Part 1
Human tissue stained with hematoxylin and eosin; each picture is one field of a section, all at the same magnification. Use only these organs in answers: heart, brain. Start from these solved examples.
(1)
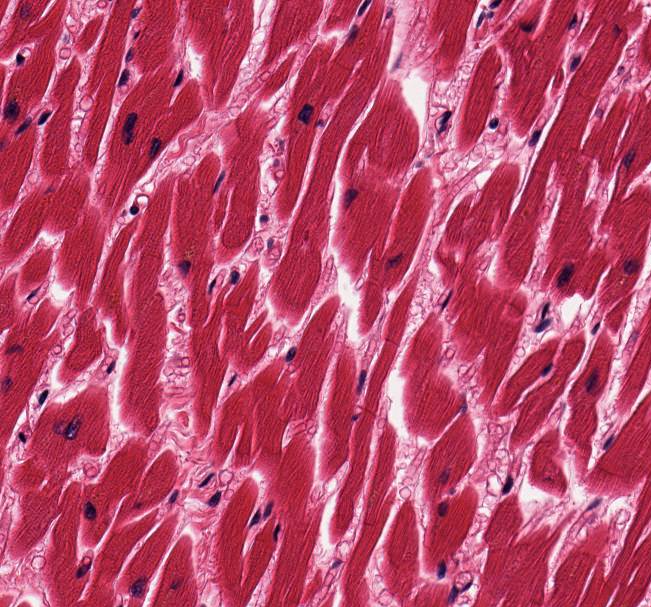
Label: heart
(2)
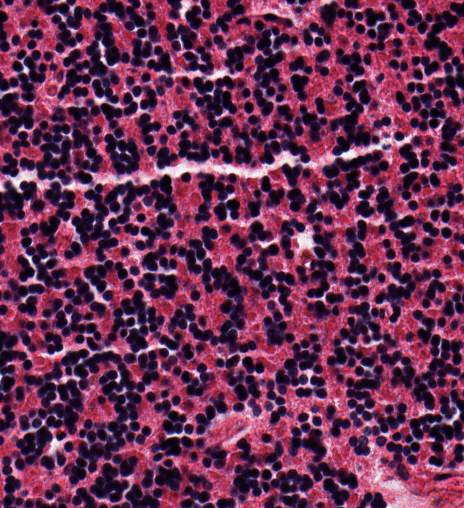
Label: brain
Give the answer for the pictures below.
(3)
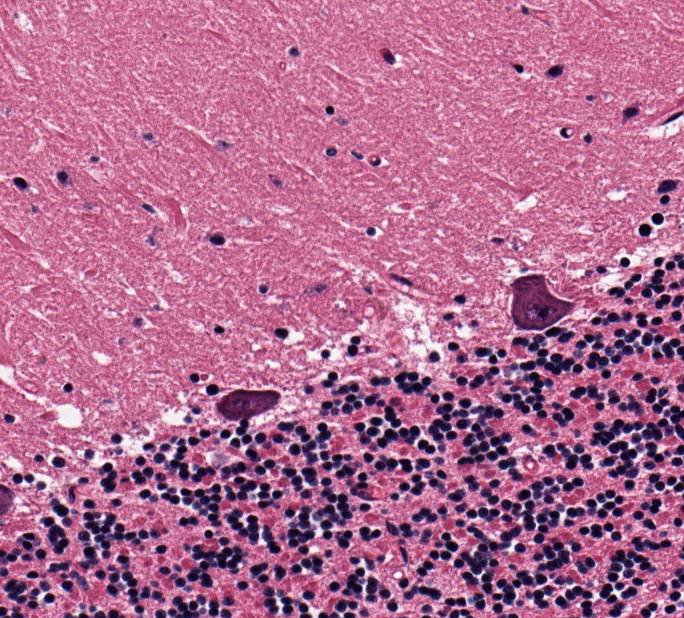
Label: brain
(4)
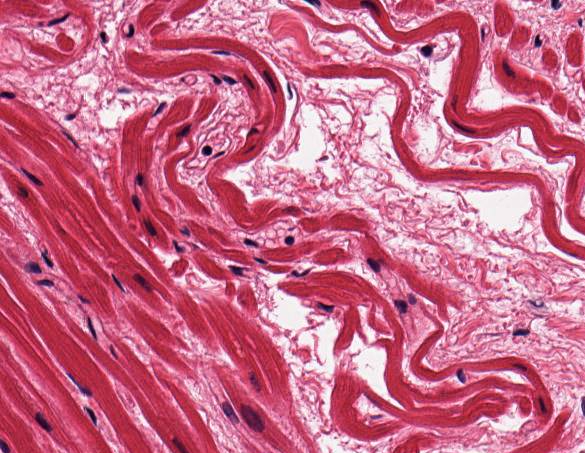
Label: heart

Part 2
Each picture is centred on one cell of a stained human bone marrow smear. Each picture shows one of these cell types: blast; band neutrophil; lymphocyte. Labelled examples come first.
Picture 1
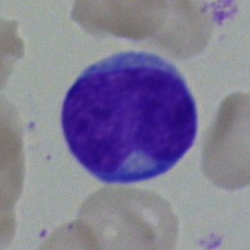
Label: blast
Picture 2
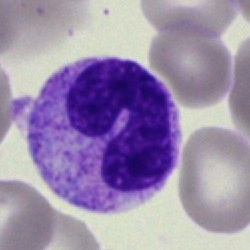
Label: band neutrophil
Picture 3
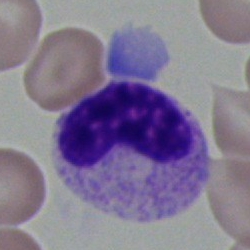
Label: band neutrophil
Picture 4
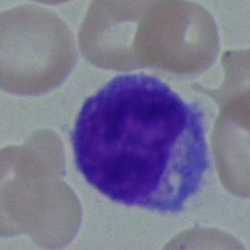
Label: blast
